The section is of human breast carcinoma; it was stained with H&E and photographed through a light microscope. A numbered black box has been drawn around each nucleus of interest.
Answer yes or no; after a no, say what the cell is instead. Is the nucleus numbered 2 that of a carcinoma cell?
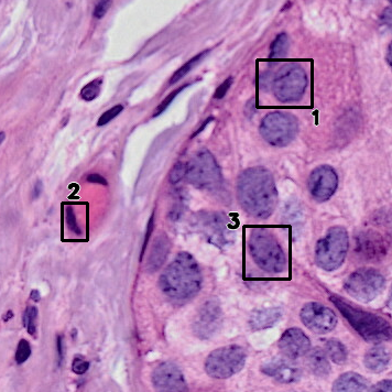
No, it is an endothelial cell.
